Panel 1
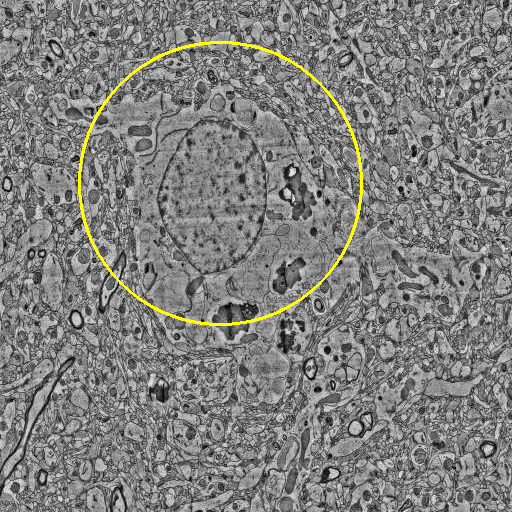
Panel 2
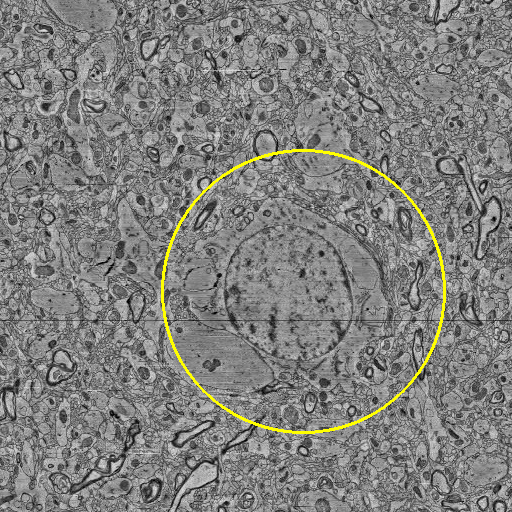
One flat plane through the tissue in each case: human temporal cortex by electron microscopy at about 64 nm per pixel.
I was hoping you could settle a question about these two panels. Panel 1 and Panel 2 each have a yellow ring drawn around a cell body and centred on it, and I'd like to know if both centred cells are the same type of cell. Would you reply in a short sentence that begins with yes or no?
Yes, both are the same type of cell.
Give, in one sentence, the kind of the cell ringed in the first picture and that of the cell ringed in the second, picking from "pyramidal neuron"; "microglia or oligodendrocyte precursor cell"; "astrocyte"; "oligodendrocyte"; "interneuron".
Both the first and the second picture show an astrocyte in the ring.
